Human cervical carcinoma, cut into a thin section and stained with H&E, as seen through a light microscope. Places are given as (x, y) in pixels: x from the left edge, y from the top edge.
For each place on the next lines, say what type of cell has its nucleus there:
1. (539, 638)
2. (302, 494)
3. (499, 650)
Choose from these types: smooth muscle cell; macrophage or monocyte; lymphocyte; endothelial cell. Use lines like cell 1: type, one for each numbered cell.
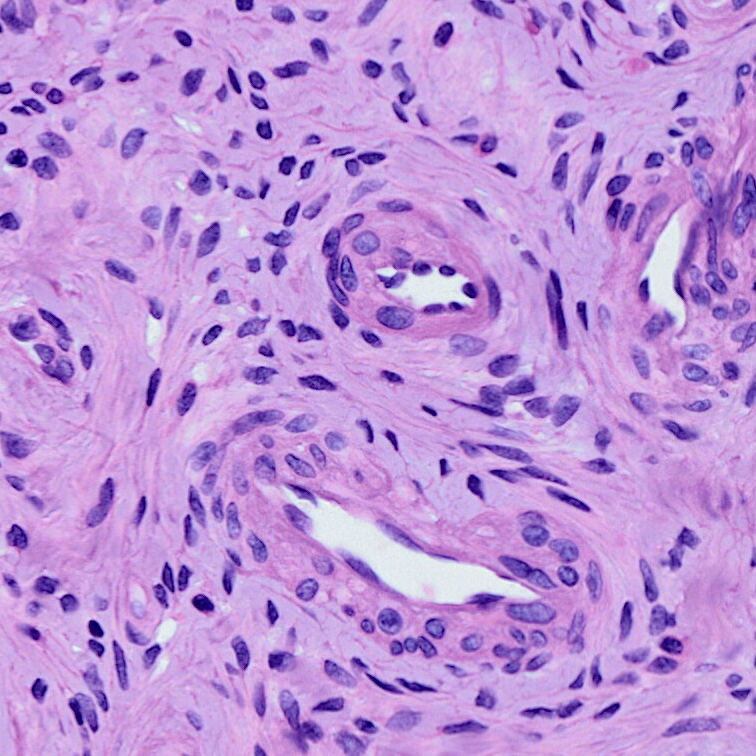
cell 1: smooth muscle cell
cell 2: endothelial cell
cell 3: smooth muscle cell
